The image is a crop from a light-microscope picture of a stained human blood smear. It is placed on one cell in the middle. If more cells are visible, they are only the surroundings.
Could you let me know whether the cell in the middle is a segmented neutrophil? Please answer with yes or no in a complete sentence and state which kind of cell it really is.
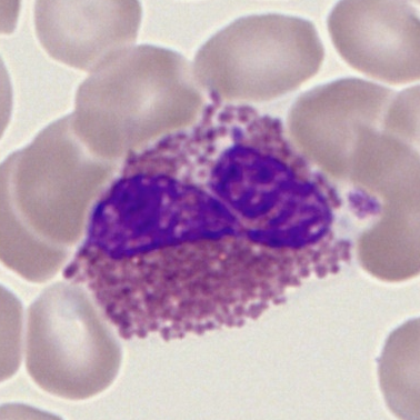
No, rather than being a segmented neutrophil, the central cell is an eosinophil.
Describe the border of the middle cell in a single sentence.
A ragged or projecting edge replaces the smooth outline in this cell.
